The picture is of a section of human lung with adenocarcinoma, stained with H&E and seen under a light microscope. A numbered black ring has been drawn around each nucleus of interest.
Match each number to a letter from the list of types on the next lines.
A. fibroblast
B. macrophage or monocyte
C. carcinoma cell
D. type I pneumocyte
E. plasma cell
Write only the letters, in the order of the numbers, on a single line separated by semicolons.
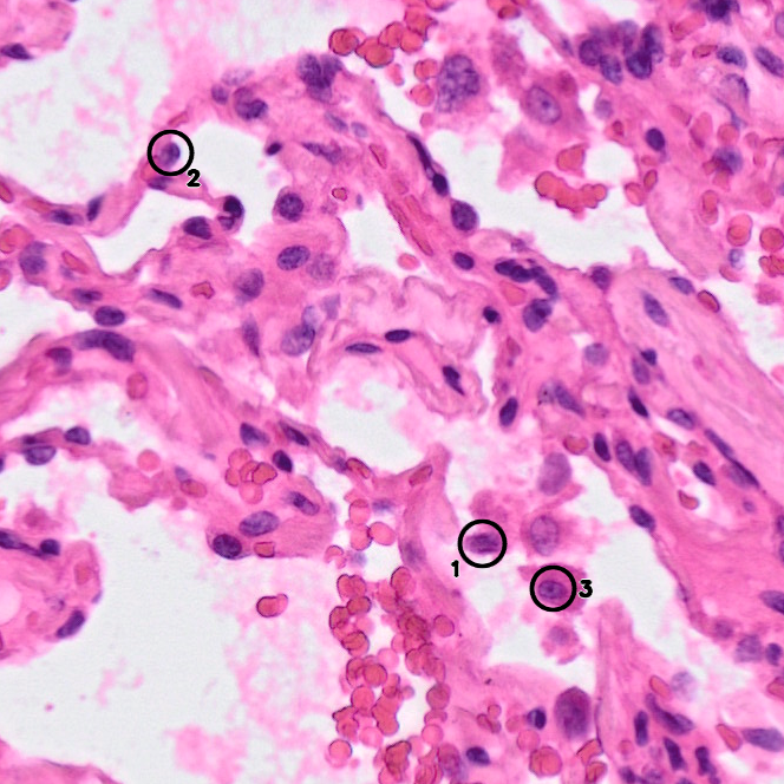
B; D; B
